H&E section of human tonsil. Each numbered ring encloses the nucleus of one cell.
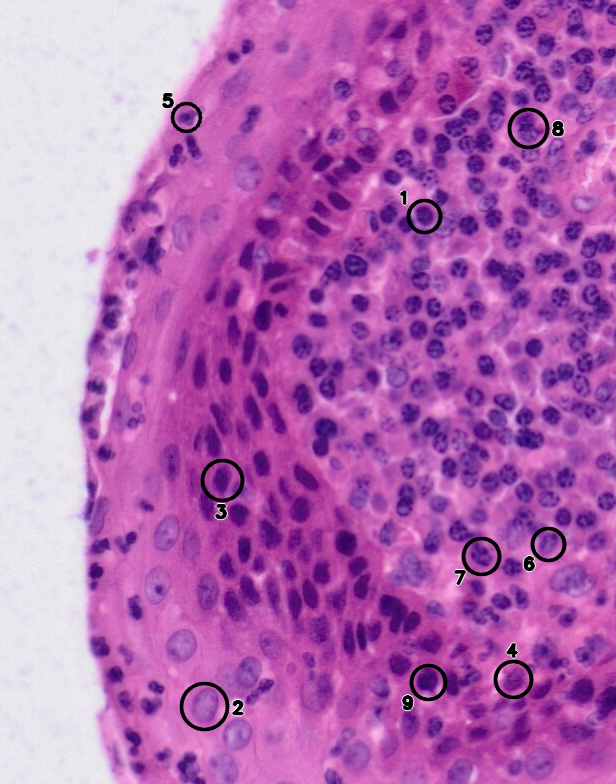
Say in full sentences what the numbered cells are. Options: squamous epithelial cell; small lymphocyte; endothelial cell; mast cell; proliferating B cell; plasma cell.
Cells 1, 6, 7 and 8 are plasma cells. Cells 2, 3, 4, 5 and 9 are squamous epithelial cells.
